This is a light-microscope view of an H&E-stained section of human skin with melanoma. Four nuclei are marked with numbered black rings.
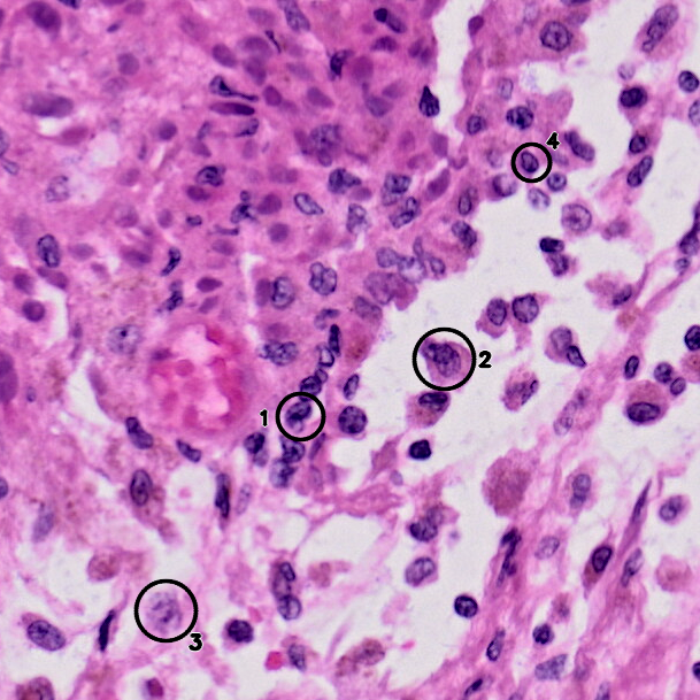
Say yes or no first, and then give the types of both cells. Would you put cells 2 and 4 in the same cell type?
Yes, cells 2 and 4 both fall under macrophages or monocytes.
